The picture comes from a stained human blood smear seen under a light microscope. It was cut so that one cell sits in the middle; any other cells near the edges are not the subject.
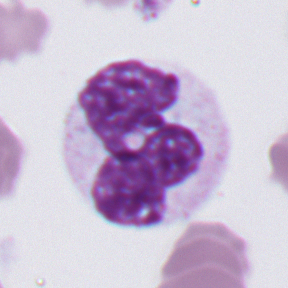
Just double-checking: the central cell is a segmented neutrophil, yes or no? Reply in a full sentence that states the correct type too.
Yes, the crop's central cell is a segmented neutrophil.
